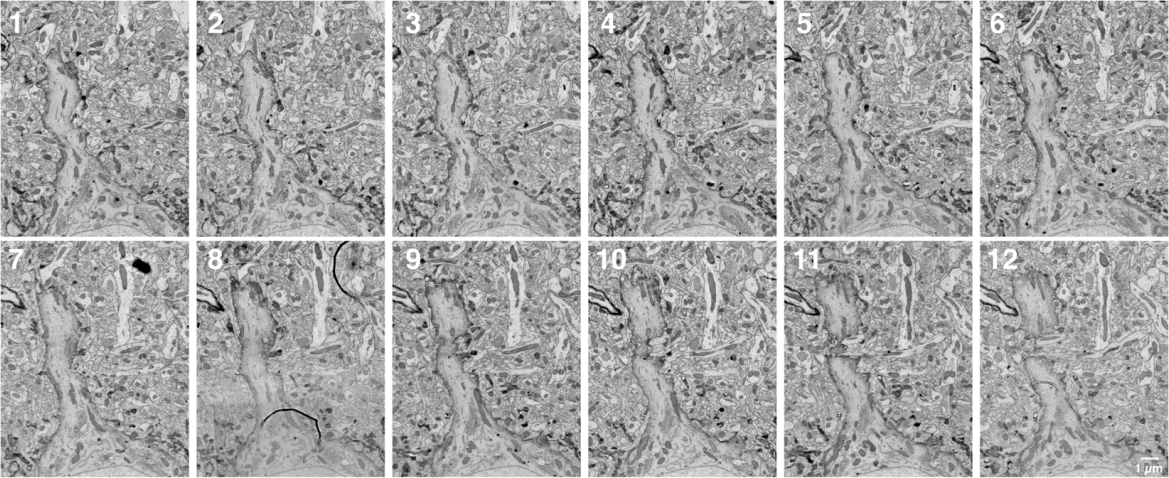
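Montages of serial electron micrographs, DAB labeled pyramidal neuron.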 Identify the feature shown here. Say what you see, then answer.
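Primary apical dendrite. The process widens toward the bottom and narrows toward the top. Elongated dark profiles lie along its length.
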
